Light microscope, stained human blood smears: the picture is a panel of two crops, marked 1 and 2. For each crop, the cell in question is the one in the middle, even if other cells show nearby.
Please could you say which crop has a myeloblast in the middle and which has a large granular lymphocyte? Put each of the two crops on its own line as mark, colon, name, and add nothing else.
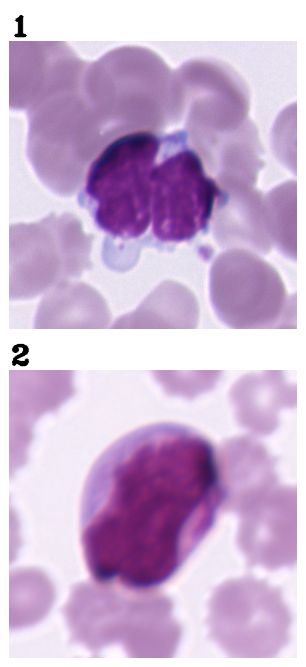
1: large granular lymphocyte
2: myeloblast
